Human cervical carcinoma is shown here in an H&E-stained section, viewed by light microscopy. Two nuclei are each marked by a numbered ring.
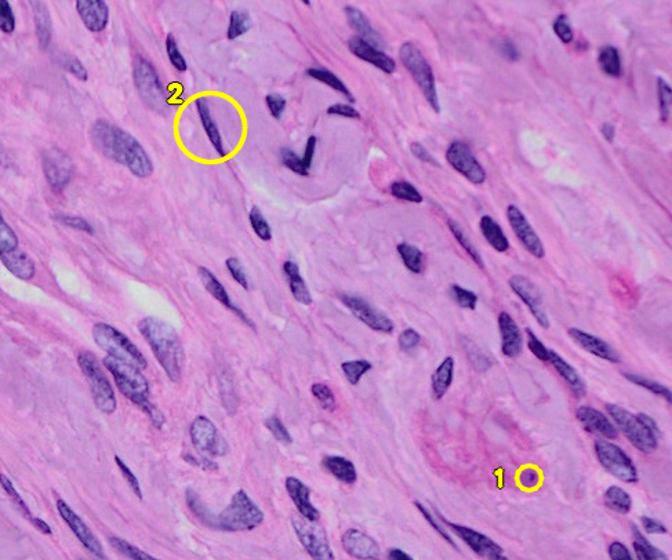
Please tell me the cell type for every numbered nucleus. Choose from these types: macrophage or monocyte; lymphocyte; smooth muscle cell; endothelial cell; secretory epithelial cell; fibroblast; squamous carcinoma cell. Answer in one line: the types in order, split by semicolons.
smooth muscle cell; fibroblast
